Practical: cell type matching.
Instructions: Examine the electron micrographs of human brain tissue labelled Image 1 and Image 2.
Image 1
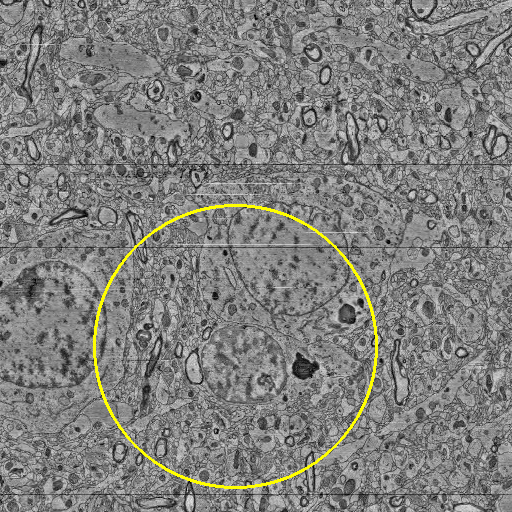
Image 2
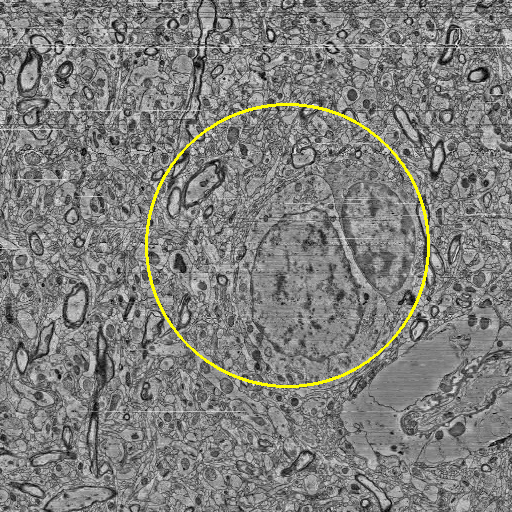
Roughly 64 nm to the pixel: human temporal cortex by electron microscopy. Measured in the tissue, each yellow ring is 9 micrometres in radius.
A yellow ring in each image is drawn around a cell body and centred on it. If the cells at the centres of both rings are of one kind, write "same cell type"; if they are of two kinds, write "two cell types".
two cell types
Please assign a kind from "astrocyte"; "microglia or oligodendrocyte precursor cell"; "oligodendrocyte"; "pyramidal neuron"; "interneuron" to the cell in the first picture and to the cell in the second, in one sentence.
In the first picture we have an oligodendrocyte, and in the second, an interneuron.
